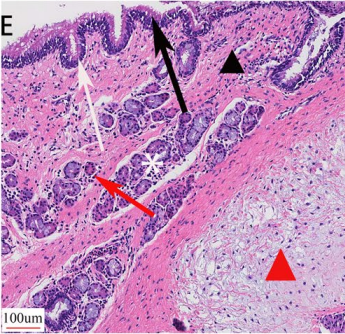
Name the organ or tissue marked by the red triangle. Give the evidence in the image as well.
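Pale matrix at lower right with cells in lacunae. Separated from the glands by a pink fibrous band. That points to this answer: cartilage.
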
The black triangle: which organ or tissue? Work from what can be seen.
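Pink fibrous stroma with scattered nuclei beneath the surface lining.
Conclusion: thick connective tissue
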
